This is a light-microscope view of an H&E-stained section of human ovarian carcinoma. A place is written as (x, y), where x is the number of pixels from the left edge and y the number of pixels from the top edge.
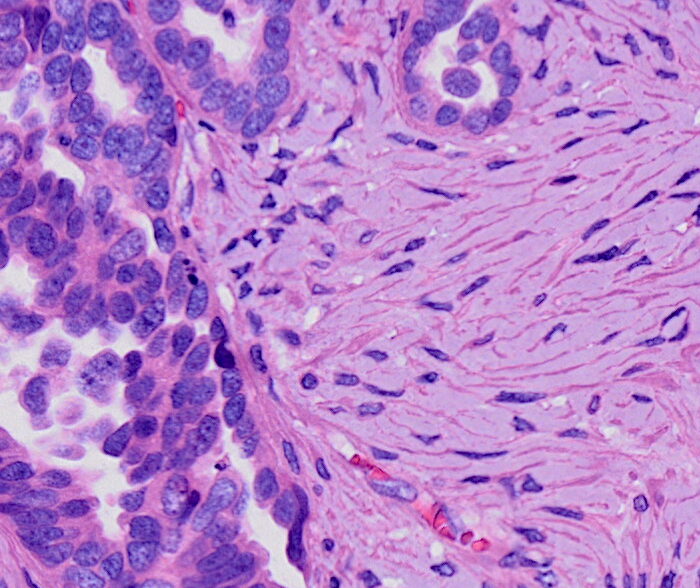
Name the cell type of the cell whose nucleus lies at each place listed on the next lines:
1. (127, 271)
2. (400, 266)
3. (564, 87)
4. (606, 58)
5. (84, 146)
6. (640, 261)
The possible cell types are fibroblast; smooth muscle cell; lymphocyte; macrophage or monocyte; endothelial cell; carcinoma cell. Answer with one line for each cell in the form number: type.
1: carcinoma cell
2: fibroblast
3: fibroblast
4: fibroblast
5: carcinoma cell
6: fibroblast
